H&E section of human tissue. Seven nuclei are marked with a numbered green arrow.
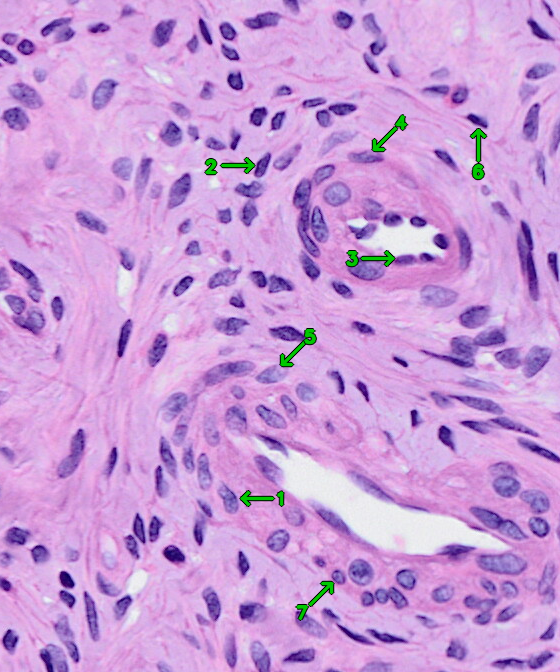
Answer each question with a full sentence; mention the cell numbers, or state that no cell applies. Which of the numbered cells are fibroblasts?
On this slide, the cells numbered 2 and 6 are fibroblasts.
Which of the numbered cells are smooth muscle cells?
Within this tissue, the cells numbered 1, 4, 5 and 7 are smooth muscle cells.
